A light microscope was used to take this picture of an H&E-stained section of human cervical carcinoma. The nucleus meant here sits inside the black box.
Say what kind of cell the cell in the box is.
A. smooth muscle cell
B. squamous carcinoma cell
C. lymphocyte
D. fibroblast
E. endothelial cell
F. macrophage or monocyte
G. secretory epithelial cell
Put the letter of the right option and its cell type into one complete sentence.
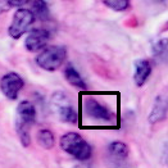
On this slide, the cell in the box is a lymphocyte, so option C is right.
